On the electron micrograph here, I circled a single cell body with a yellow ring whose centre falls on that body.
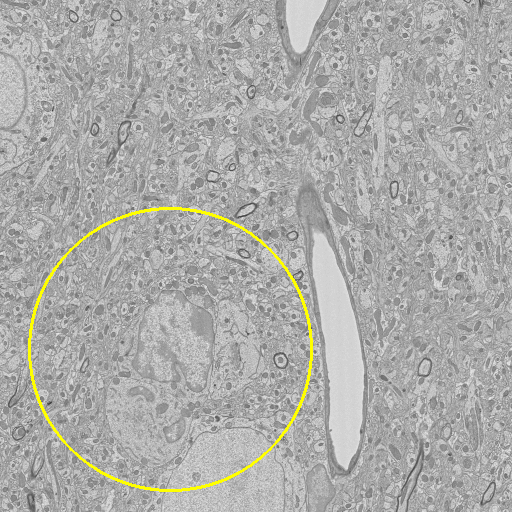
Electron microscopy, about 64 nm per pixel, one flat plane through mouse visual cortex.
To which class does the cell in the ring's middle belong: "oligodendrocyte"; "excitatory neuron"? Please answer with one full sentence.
In this picture, the cell body circled at the ring's centre belongs to an oligodendrocyte.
